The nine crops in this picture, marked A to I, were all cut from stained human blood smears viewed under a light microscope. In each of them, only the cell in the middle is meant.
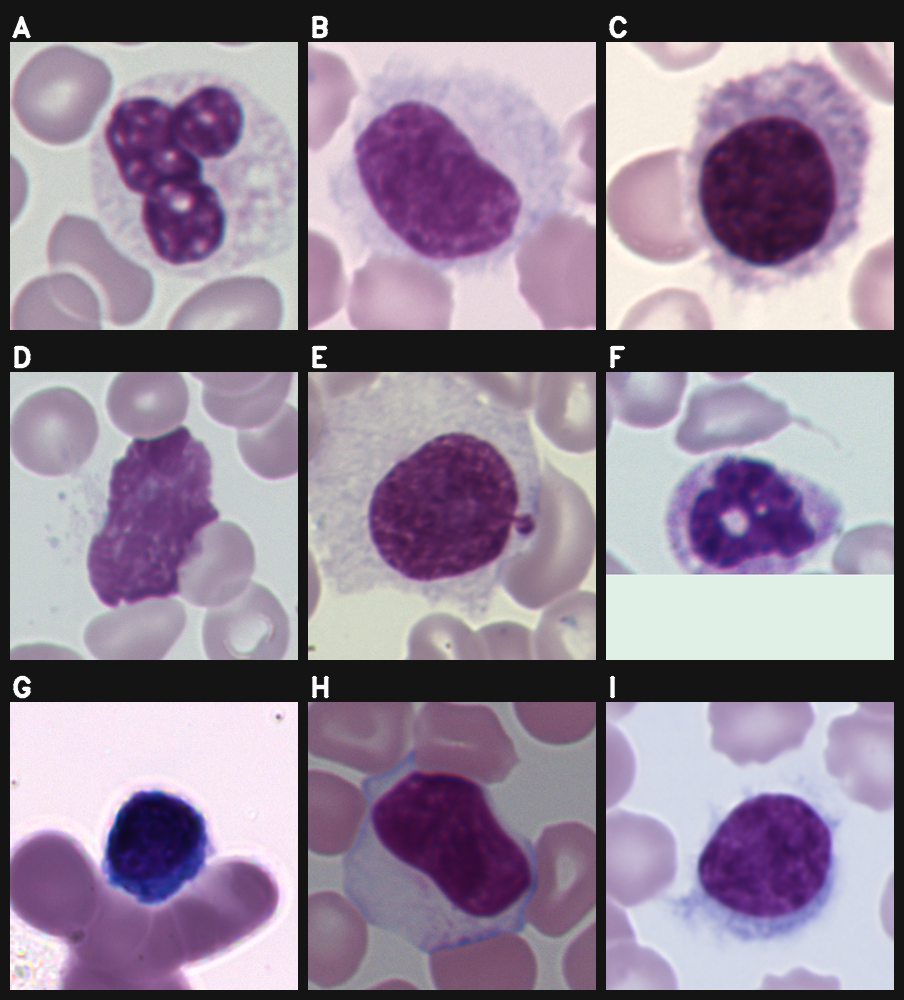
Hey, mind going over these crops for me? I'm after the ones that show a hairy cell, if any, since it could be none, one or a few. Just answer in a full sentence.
So, to put it simply, crops B, C, E and I show hairy cells.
